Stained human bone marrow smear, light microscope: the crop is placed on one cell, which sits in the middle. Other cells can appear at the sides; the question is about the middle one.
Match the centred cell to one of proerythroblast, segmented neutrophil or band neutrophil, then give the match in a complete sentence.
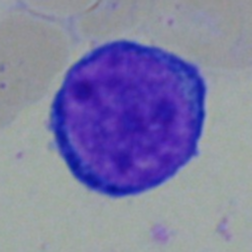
By type, the central cell of the crop is a proerythroblast.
